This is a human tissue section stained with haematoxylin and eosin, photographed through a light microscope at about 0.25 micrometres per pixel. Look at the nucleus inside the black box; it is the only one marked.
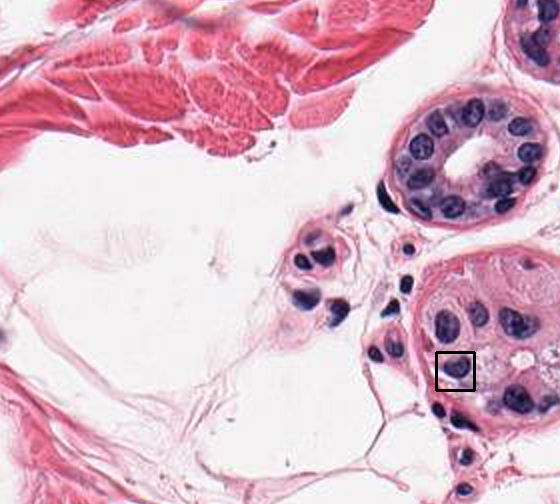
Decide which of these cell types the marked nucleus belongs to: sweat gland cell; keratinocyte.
sweat gland cell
